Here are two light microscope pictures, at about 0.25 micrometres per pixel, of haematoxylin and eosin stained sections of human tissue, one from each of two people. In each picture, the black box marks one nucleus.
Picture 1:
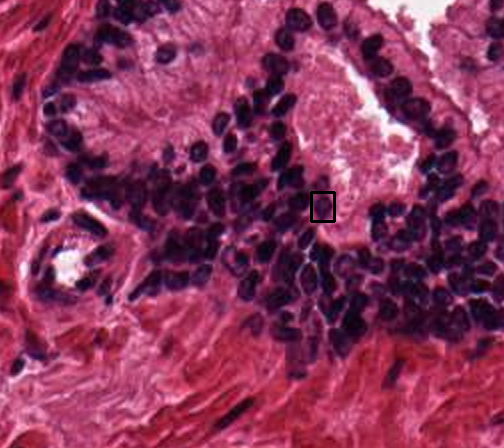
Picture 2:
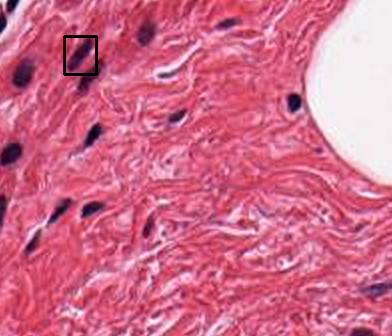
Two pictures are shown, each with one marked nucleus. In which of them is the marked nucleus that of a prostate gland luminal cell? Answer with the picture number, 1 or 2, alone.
1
